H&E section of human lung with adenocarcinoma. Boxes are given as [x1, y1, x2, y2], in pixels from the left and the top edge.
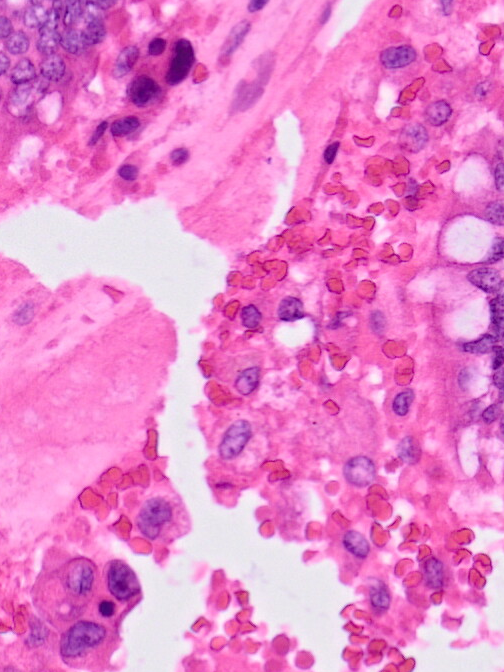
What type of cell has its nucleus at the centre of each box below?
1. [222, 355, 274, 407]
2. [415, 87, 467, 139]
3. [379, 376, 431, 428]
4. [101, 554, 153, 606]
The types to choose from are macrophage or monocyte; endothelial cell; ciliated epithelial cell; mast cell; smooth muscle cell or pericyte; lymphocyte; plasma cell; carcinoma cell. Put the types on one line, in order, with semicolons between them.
macrophage or monocyte; macrophage or monocyte; macrophage or monocyte; carcinoma cell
